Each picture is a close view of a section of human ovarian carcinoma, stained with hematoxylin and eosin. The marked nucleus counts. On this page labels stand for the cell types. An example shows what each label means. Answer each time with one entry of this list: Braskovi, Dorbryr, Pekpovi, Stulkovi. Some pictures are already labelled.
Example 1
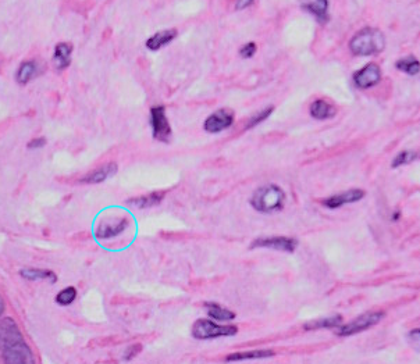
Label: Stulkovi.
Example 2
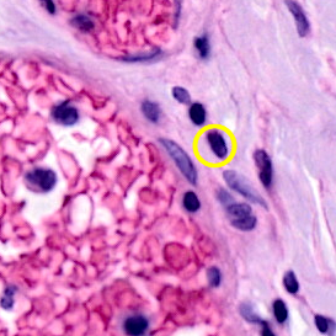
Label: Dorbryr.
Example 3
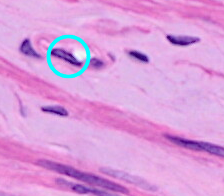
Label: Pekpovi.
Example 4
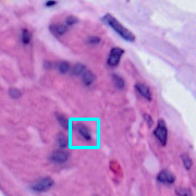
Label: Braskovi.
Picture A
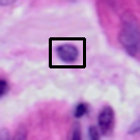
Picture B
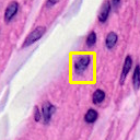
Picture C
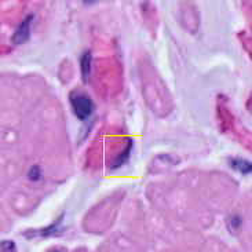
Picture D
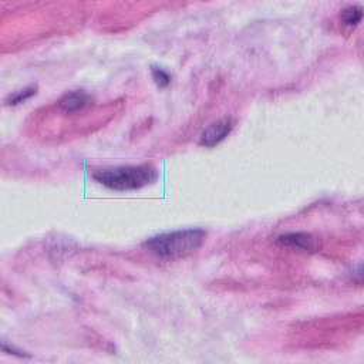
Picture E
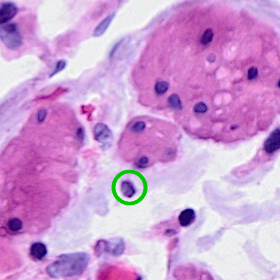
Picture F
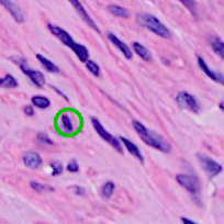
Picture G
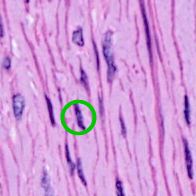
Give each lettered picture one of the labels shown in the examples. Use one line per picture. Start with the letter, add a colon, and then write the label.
A: Dorbryr.
B: Braskovi.
C: Pekpovi.
D: Pekpovi.
E: Dorbryr.
F: Braskovi.
G: Stulkovi.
